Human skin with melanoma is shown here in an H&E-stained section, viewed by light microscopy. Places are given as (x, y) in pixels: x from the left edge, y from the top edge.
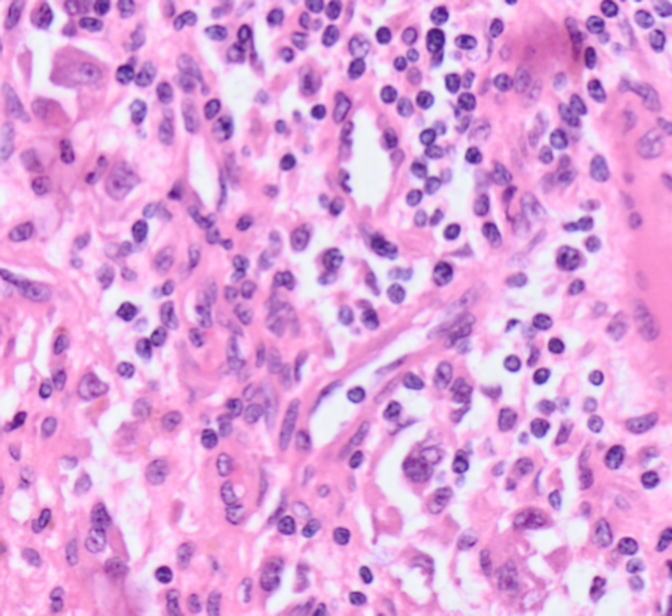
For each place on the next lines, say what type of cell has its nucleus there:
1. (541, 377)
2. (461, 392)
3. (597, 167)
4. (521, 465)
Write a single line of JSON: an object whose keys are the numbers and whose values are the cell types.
{"1": "lymphocyte", "2": "melanoma cell", "3": "lymphocyte", "4": "macrophage or monocyte"}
